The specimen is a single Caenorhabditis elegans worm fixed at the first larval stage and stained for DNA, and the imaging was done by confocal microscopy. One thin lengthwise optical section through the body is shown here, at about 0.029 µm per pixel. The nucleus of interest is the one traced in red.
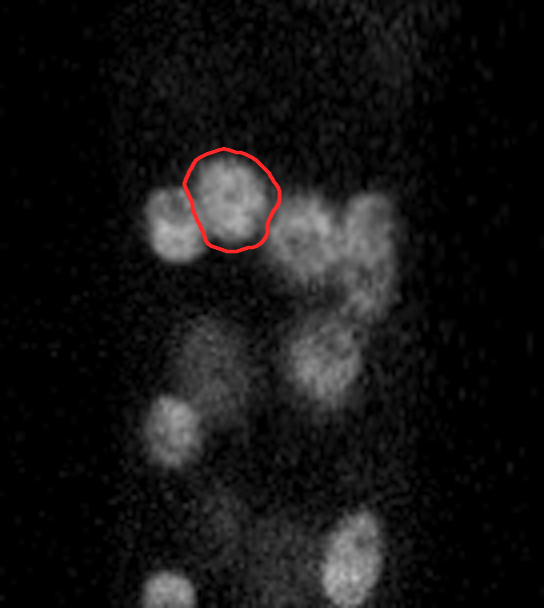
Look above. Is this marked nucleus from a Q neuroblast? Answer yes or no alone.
yes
